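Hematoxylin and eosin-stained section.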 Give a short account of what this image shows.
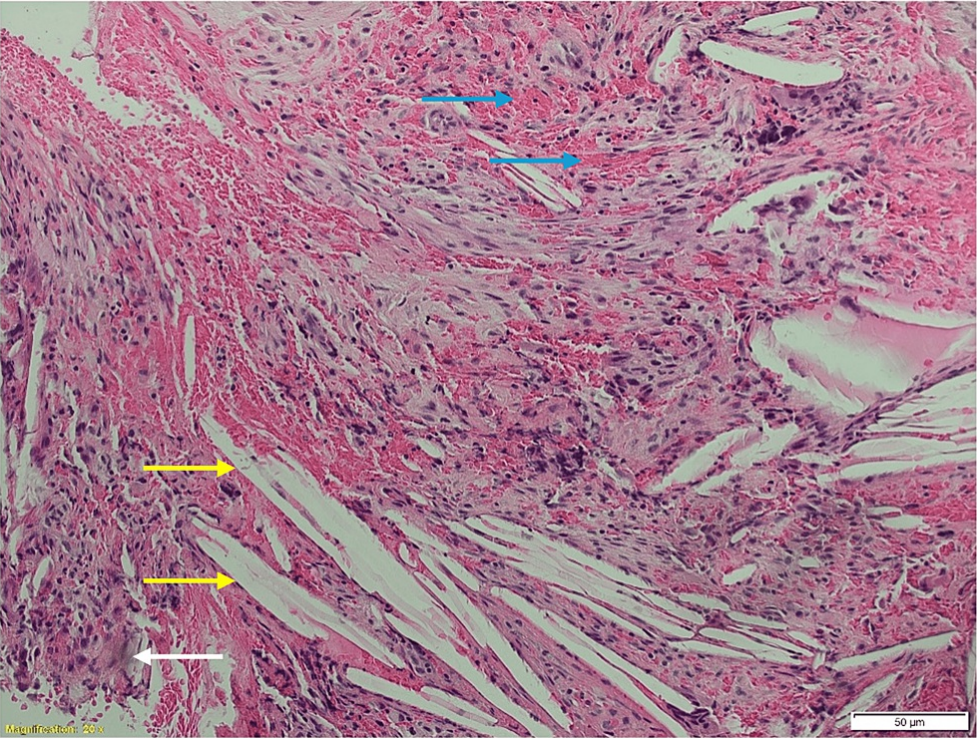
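This is an inflamed tissue in which many long, needle-shaped empty clefts are left where cholesterol crystals were dissolved during processing. The clefts lie in parallel bundles and in scattered groups, and spindle-shaped and rounded cells crowd around them. Among these cells are macrophages with more plentiful pale cytoplasm, and chronic inflammatory cells with small dark nuclei. Between them lie broad areas of pink, granular necrotic debris and red blood cells. A small patch of brownish pigment near the lower left edge is a hemosiderin deposit.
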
